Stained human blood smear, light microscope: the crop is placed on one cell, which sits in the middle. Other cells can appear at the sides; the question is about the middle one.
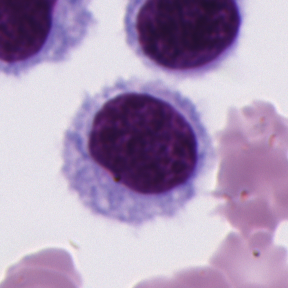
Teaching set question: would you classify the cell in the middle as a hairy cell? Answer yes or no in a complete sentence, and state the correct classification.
Yes, the cell of interest in the centre is a hairy cell.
